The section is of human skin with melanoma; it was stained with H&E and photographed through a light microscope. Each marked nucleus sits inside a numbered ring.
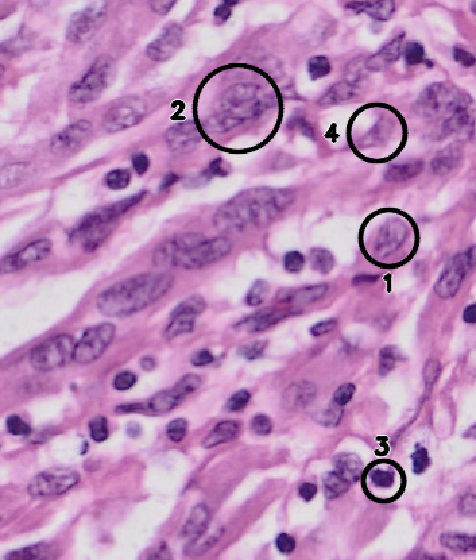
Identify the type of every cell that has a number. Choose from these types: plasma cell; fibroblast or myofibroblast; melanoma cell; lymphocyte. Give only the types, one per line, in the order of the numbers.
melanoma cell
melanoma cell
lymphocyte
melanoma cell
